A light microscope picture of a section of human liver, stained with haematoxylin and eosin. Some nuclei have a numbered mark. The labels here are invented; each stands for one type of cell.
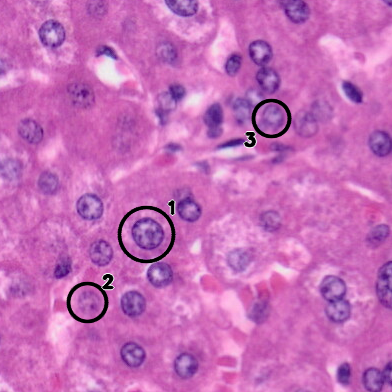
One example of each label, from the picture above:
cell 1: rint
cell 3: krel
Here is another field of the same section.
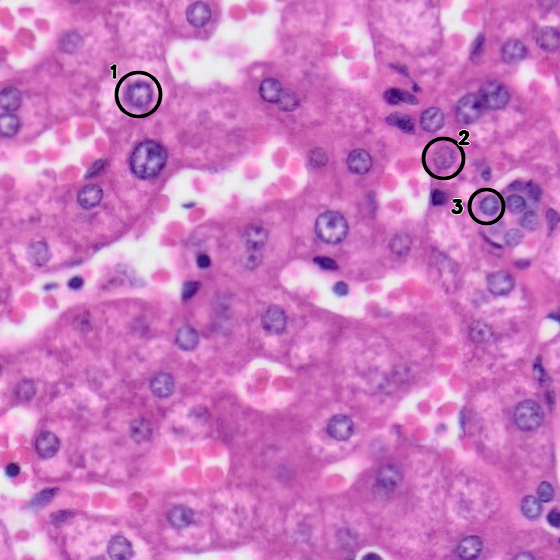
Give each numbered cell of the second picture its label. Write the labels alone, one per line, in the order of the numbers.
rint
rint
krel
